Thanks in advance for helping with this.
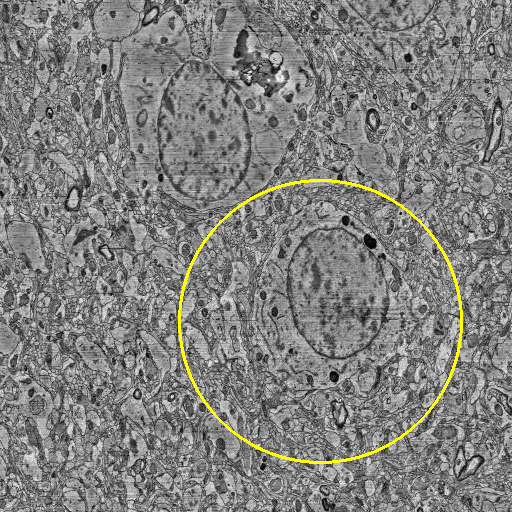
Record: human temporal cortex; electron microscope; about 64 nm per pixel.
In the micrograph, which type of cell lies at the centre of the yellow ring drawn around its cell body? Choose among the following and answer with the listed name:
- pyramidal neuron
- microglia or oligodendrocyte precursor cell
pyramidal neuron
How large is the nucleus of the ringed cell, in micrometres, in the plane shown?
In this plane, approximately 9 by 6 micrometers.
